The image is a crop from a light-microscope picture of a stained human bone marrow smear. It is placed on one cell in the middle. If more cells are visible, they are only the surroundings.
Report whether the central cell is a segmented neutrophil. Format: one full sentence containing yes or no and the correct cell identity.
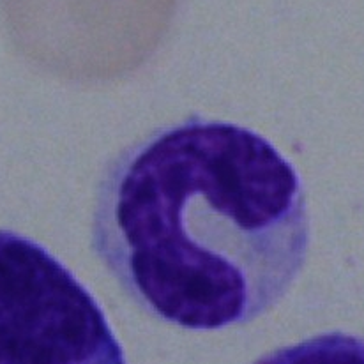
No, the identification should read a band neutrophil, not a segmented neutrophil, for the central cell.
